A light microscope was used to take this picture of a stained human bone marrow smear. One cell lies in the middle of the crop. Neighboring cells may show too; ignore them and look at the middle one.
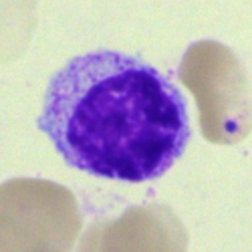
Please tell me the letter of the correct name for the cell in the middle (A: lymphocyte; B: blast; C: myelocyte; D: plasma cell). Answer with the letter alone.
C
